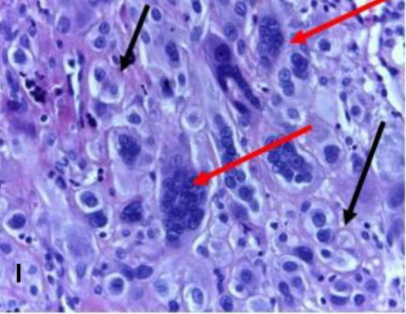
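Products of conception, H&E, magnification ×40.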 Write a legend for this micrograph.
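Choriocarcinoma at high power shows a mixture of anaplastic trophoblastic cells. Mononuclear cytotrophoblastic cells with clear to pale cytoplasm, sharp cell borders and large nuclei with prominent nucleoli lie beside large multinucleated syncytiotrophoblastic cells whose dense purple cytoplasm holds clusters of dark, crowded nuclei. No villi are seen.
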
